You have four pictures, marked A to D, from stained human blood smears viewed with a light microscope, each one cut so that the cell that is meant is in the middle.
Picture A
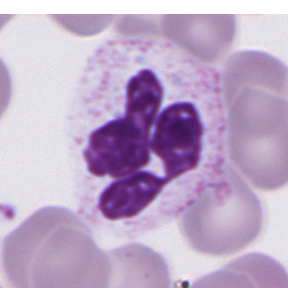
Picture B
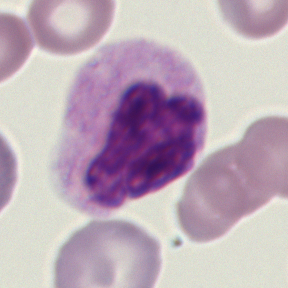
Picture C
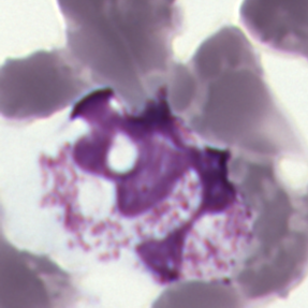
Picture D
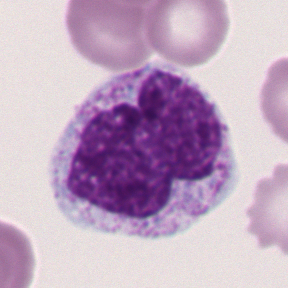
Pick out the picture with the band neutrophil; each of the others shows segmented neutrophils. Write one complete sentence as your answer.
Picture D shows the band neutrophil.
